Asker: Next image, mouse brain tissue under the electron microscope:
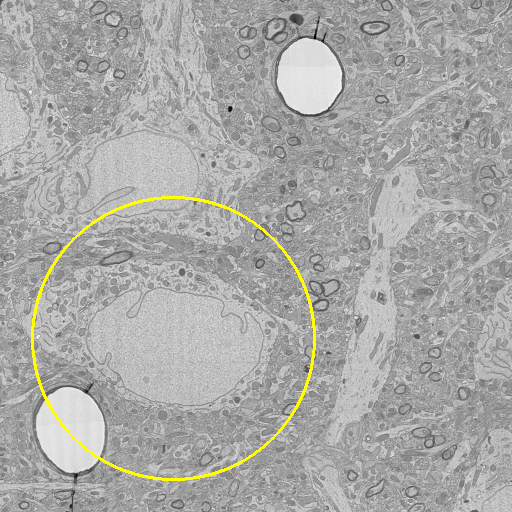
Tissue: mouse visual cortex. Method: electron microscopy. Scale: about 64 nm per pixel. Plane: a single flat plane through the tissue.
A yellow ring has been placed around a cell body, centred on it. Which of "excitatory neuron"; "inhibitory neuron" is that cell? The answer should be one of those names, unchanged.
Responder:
excitatory neuron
